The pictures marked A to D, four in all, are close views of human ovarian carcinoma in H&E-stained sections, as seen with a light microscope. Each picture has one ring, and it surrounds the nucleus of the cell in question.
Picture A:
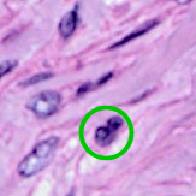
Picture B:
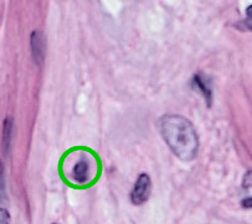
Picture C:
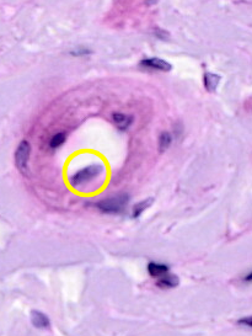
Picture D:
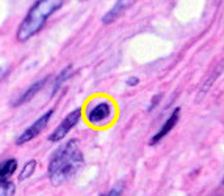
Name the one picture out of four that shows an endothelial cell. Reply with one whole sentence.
Picture C is the one that shows the endothelial cell.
